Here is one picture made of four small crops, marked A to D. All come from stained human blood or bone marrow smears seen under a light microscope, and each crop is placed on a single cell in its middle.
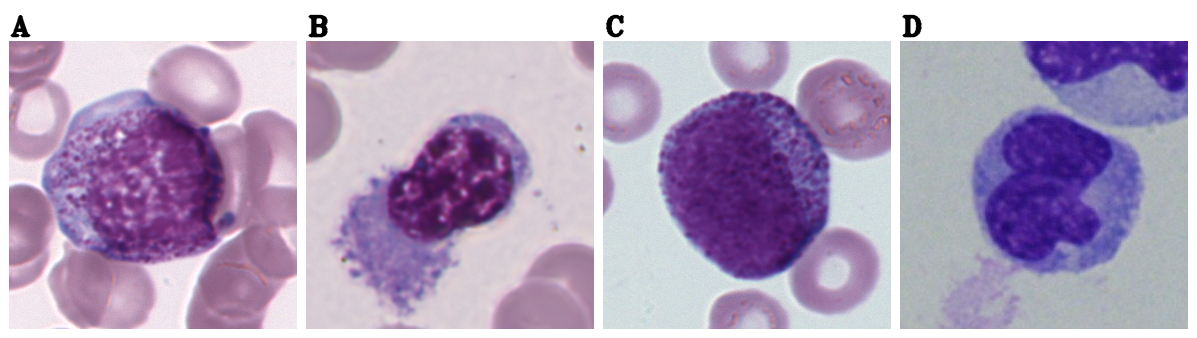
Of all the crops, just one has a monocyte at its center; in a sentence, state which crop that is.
On review of the set, crop D is the one showing a monocyte.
